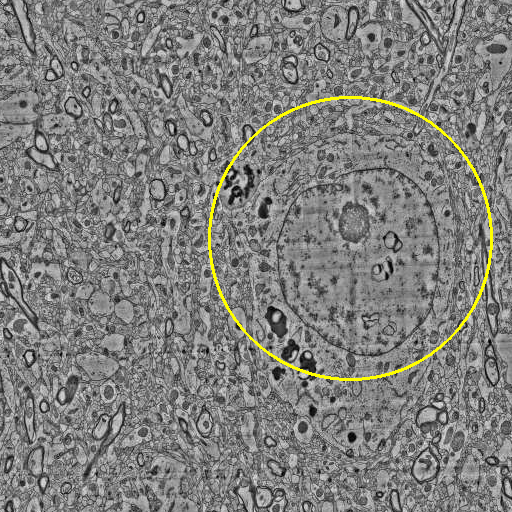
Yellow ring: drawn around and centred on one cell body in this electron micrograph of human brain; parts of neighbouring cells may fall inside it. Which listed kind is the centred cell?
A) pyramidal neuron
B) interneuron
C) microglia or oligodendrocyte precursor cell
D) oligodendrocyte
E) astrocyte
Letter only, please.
A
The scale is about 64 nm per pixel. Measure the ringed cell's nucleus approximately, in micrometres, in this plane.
Approximately 11 micrometers across in this plane.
